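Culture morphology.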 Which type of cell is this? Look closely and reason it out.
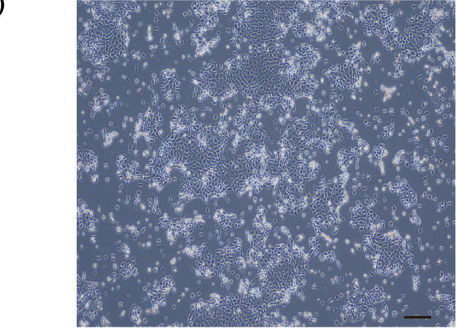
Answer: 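Epithelial cells. Cells grow as tightly packed, irregular patches and islands rather than as scattered single cells. Within the patches, small polygonal cells sit edge to edge in a cobblestone-like sheet. Open background spaces lie between the patches.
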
